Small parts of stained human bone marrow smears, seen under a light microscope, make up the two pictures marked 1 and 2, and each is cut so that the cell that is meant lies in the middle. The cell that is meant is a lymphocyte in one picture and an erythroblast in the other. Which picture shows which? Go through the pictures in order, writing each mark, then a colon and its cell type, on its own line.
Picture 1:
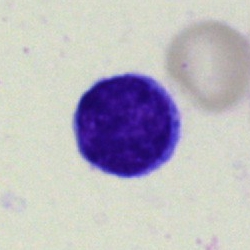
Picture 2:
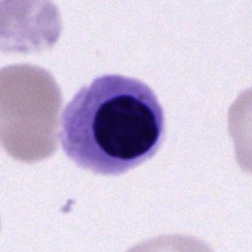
1: lymphocyte
2: erythroblast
